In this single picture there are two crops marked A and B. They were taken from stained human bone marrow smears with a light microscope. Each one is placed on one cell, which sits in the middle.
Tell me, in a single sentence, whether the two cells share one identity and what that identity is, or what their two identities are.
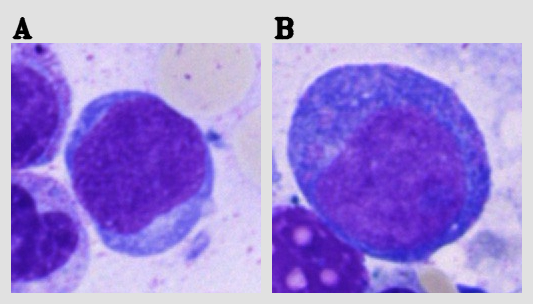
No, the cell that crop A shows is a blast, and the one crop B shows is a promyelocyte.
